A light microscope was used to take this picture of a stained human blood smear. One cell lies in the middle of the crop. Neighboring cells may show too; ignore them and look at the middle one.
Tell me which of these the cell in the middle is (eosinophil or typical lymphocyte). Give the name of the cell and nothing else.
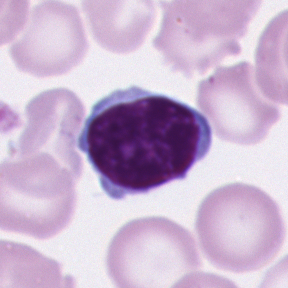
typical lymphocyte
